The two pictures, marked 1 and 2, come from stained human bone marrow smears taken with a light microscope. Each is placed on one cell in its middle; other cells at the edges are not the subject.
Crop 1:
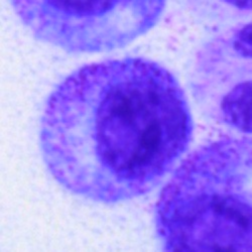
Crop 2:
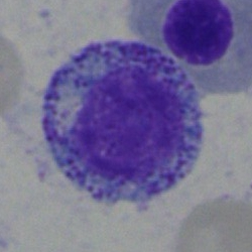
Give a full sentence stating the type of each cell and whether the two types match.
Yes, it is myelocytes that occupy the middle of both crops.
